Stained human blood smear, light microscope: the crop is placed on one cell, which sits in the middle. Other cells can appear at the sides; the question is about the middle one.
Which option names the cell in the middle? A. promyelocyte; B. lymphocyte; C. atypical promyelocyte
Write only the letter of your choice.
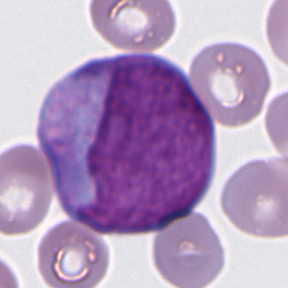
C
